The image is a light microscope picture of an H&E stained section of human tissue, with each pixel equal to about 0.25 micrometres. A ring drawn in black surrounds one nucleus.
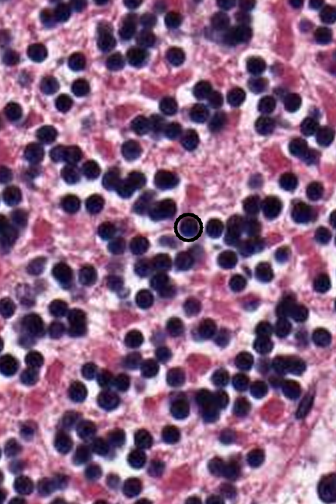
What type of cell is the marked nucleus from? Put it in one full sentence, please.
The cell that the marked nucleus belongs to is a cerebellar granule cell.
